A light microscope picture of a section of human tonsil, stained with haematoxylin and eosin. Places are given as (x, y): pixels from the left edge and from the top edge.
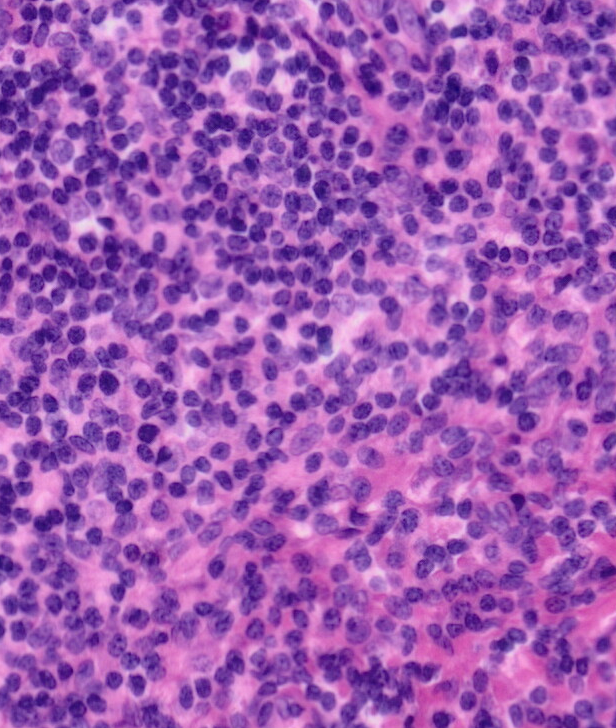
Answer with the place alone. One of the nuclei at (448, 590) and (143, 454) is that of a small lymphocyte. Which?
(143, 454)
